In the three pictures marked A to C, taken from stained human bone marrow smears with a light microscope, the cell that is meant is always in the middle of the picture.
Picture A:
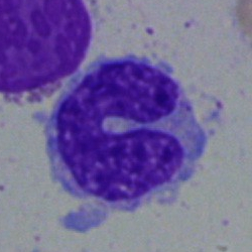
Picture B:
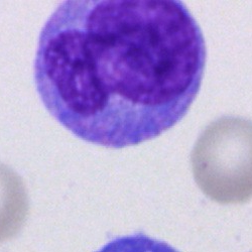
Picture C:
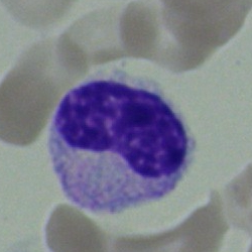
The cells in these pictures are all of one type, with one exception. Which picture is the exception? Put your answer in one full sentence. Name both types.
The different one is picture C; it shows a metamyelocyte, whereas all the others show monocytes.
